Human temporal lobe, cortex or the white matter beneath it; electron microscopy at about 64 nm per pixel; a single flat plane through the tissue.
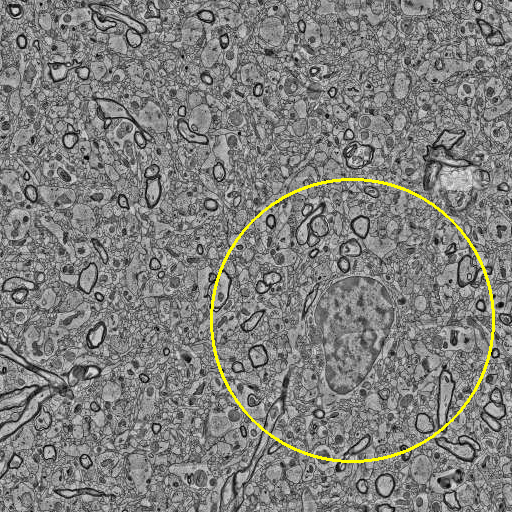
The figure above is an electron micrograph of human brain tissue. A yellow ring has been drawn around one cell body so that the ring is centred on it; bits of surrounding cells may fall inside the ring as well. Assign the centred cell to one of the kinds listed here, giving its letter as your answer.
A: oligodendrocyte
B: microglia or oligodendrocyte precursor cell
B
